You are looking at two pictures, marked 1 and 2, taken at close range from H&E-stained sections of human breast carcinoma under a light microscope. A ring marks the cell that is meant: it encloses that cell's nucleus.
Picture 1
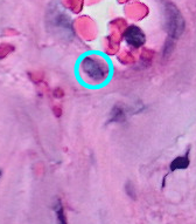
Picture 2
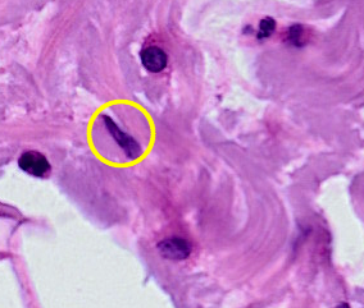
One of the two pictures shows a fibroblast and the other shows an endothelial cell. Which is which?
1: endothelial cell
2: fibroblast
